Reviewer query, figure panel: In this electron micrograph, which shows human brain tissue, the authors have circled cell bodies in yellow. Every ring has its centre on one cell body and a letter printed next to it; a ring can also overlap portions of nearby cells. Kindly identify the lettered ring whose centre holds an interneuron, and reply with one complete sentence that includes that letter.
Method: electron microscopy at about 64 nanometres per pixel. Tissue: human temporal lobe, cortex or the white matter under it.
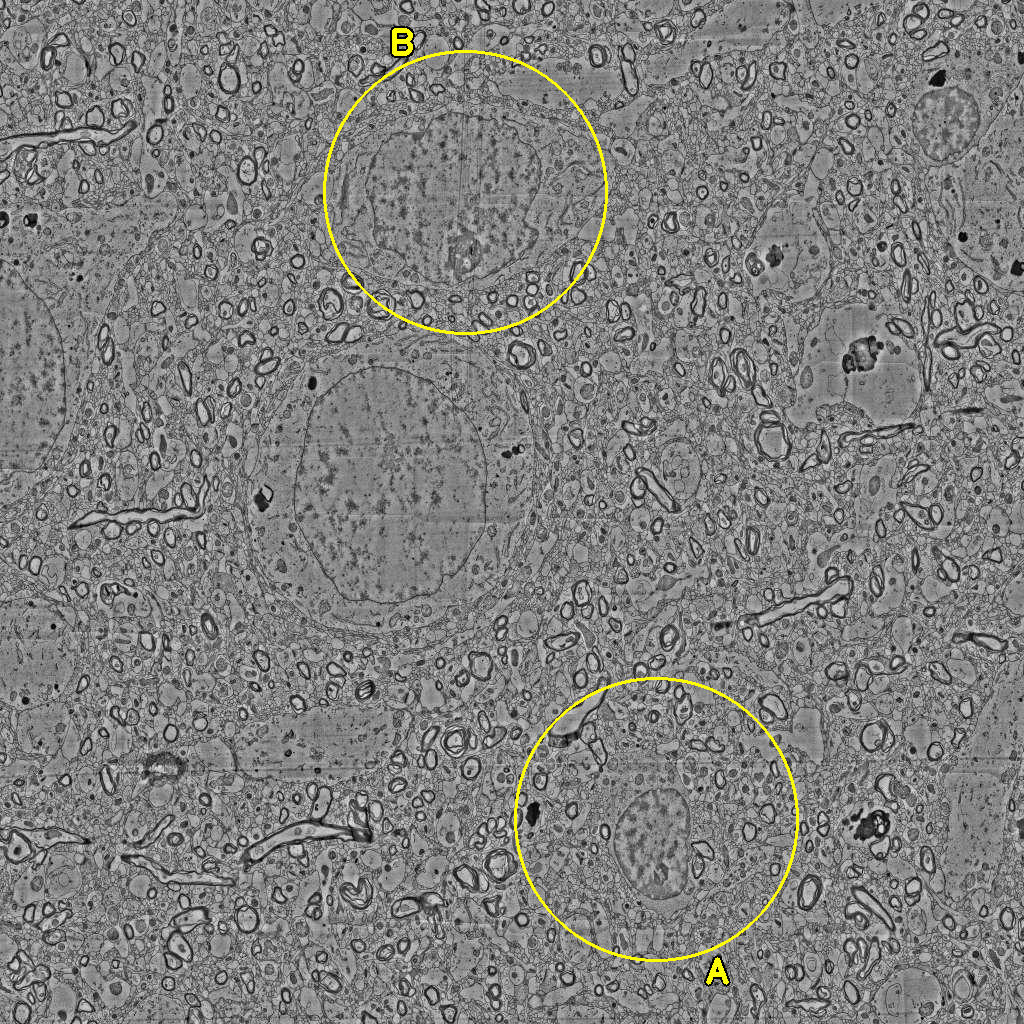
In this figure panel, the ring labelled B has the cell asked for at its centre.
